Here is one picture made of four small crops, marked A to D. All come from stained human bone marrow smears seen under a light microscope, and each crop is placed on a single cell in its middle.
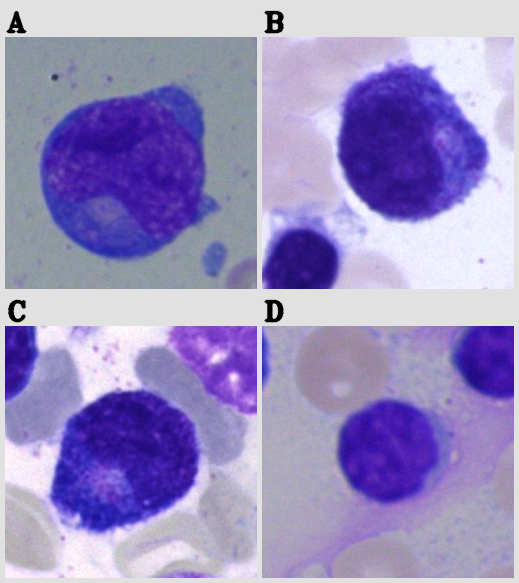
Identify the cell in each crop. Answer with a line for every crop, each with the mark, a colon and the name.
A: blast
B: promyelocyte
C: promyelocyte
D: lymphocyte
